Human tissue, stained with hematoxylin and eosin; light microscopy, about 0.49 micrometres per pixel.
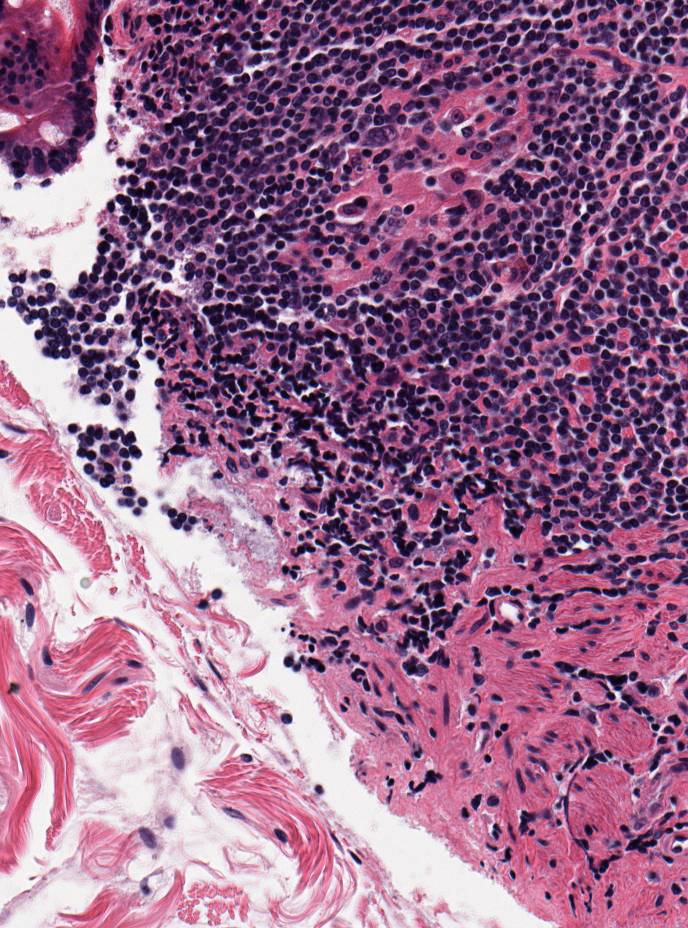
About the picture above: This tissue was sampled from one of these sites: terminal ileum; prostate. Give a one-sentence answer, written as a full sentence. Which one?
It was from the terminal ileum that this tissue was sampled.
